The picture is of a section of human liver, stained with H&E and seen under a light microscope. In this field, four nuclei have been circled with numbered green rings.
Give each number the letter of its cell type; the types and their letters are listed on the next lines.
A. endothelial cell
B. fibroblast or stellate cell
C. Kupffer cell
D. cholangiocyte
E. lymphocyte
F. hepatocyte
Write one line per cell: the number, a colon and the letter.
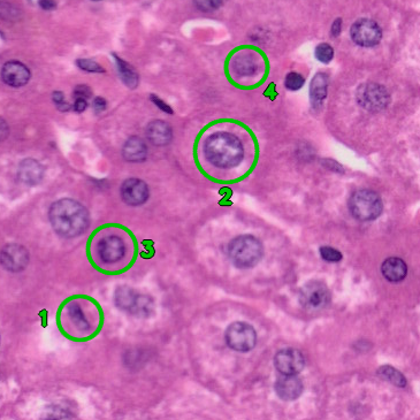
1: B
2: F
3: F
4: F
